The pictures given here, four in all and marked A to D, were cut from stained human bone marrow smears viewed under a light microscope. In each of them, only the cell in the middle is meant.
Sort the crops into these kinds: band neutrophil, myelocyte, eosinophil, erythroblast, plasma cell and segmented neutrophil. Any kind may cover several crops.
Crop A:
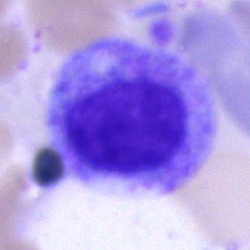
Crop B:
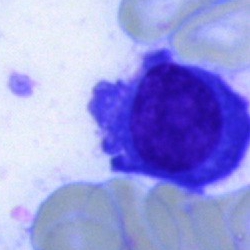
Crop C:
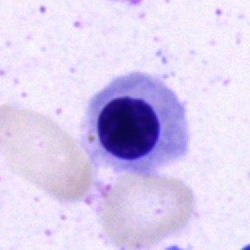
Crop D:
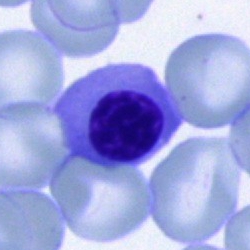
A: myelocyte
B: plasma cell
C: erythroblast
D: erythroblast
